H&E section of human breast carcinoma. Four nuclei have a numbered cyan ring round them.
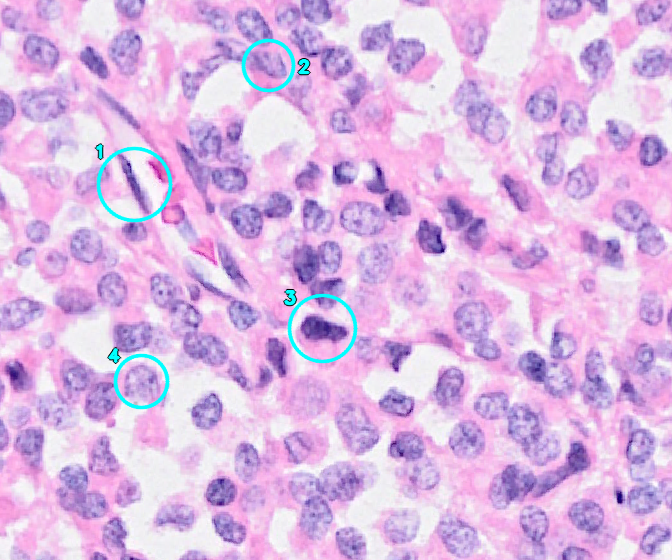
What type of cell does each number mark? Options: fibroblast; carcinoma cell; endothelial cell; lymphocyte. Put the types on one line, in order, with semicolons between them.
endothelial cell; carcinoma cell; carcinoma cell; carcinoma cell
